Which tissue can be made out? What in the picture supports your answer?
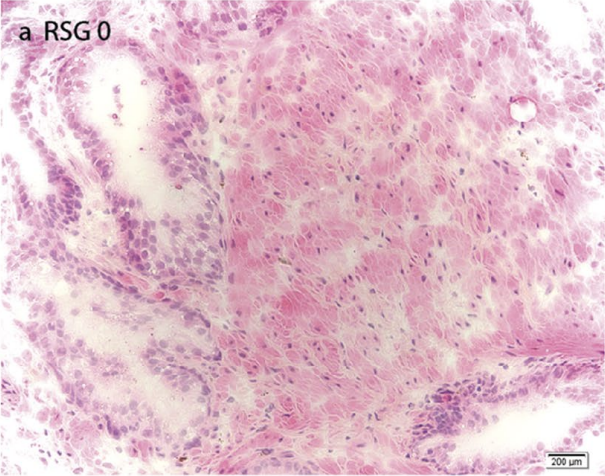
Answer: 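Glands with open lumens lined by epithelium lie at the left and bottom. The glands are set in a dense pink fibromuscular stroma. So: Normal prostatic tissue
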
